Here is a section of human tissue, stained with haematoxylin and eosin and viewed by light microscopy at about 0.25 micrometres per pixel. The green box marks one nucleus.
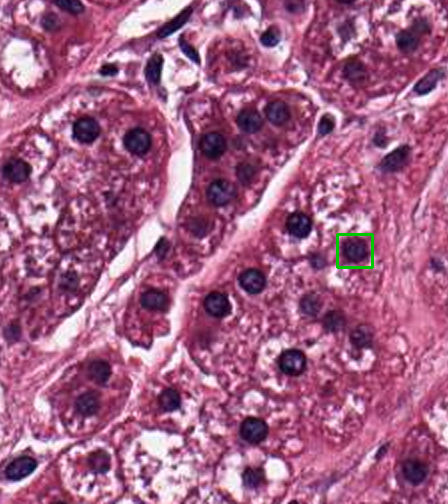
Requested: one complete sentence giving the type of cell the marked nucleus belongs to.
In this picture, the marked nucleus belongs to an adrenal cortical cell.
